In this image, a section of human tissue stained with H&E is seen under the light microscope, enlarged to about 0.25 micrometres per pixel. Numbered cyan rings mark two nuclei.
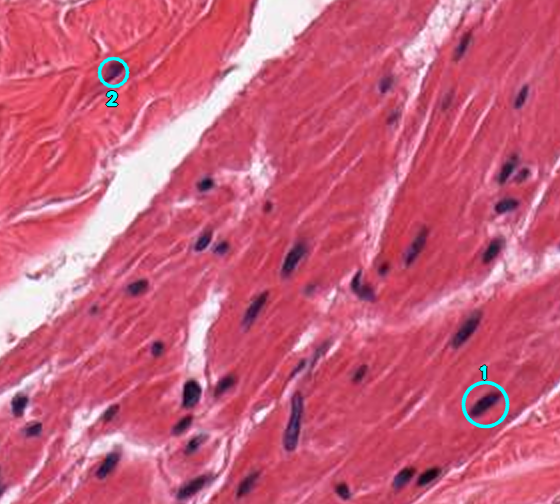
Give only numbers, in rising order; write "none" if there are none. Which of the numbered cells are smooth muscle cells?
1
